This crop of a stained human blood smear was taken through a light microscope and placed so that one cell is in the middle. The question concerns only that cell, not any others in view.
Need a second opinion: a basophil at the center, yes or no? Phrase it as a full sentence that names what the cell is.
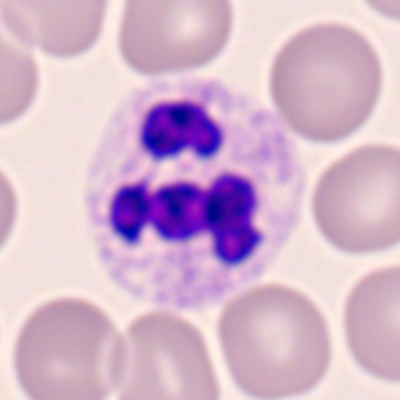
No, what the centre of the crop shows is a segmented neutrophil, not a basophil.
